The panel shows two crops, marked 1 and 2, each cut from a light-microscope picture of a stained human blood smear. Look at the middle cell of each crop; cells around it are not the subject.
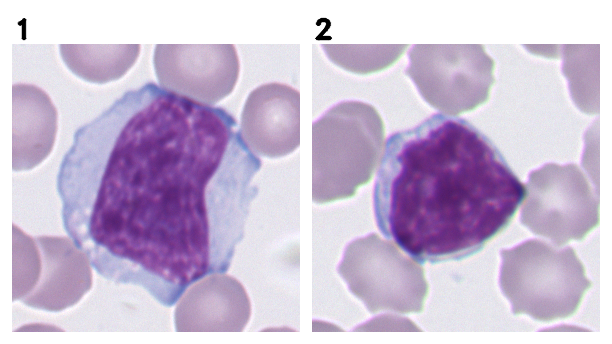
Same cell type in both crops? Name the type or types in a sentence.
No, crop 1 shows a myeloblast, whereas in crop 2 the cell is a typical lymphocyte.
